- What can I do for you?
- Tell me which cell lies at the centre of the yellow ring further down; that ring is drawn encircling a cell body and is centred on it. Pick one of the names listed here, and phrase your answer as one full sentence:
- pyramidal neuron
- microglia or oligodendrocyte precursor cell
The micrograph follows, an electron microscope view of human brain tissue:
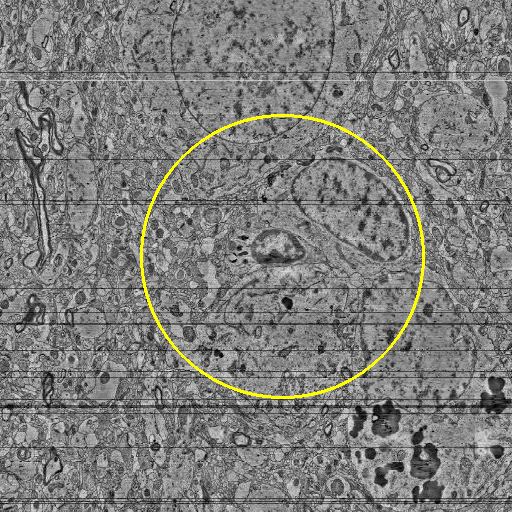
The cell whose body lies at the centre of the yellow ring is a microglial cell or oligodendrocyte precursor cell.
